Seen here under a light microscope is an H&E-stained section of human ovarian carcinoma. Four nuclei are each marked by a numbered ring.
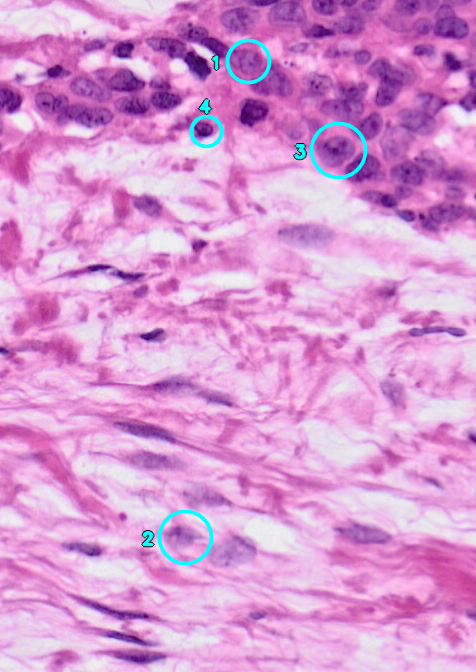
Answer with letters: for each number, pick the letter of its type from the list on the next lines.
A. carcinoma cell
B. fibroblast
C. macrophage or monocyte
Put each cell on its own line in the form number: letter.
1: A
2: B
3: A
4: C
